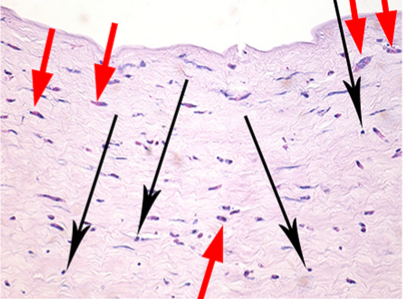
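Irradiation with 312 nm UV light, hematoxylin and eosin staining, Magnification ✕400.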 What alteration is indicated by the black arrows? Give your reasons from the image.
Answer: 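The black arrows point to tiny, round, very dark nuclei. These dots are much smaller than the neighbouring nuclei.
Answer: Pyknotic changes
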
